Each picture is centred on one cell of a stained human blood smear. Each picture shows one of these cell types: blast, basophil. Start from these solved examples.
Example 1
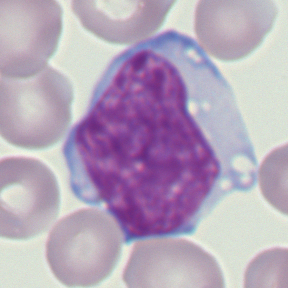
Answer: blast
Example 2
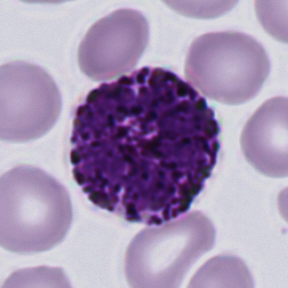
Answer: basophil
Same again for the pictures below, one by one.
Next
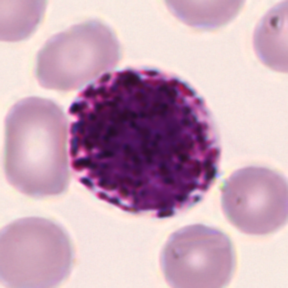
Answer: basophil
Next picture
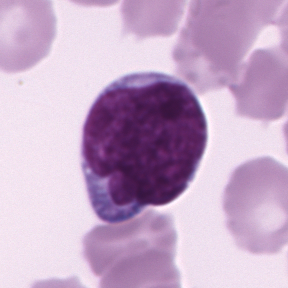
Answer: blast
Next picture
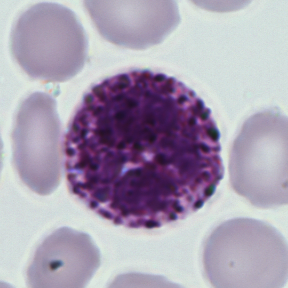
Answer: basophil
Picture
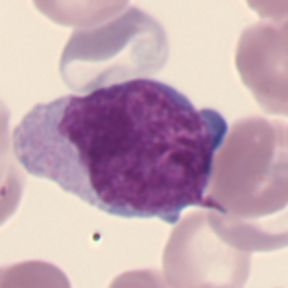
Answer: blast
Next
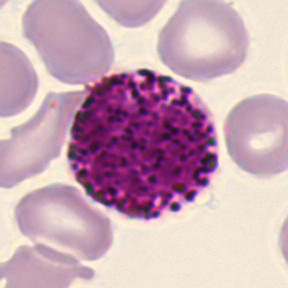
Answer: basophil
